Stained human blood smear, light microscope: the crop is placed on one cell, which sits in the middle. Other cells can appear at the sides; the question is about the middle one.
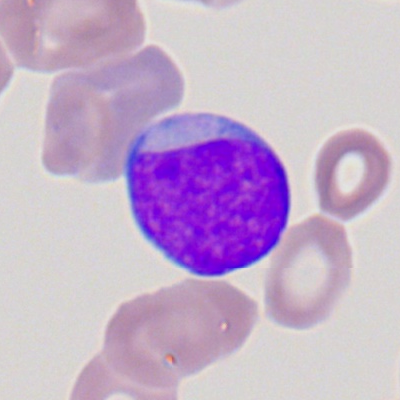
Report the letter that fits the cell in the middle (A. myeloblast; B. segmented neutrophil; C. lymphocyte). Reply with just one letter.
A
